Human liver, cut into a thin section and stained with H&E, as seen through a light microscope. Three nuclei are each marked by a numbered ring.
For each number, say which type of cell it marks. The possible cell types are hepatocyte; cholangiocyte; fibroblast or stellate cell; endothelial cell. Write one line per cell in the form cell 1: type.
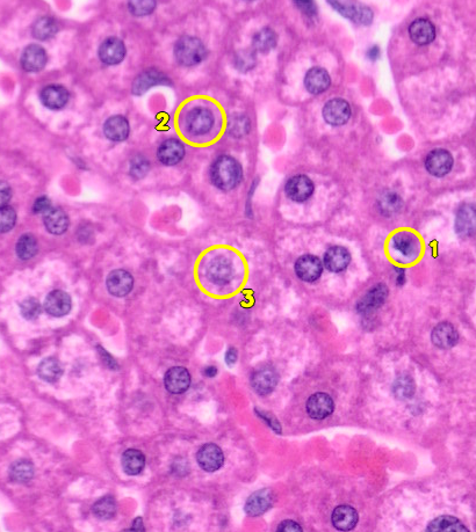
cell 1: endothelial cell
cell 2: hepatocyte
cell 3: hepatocyte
